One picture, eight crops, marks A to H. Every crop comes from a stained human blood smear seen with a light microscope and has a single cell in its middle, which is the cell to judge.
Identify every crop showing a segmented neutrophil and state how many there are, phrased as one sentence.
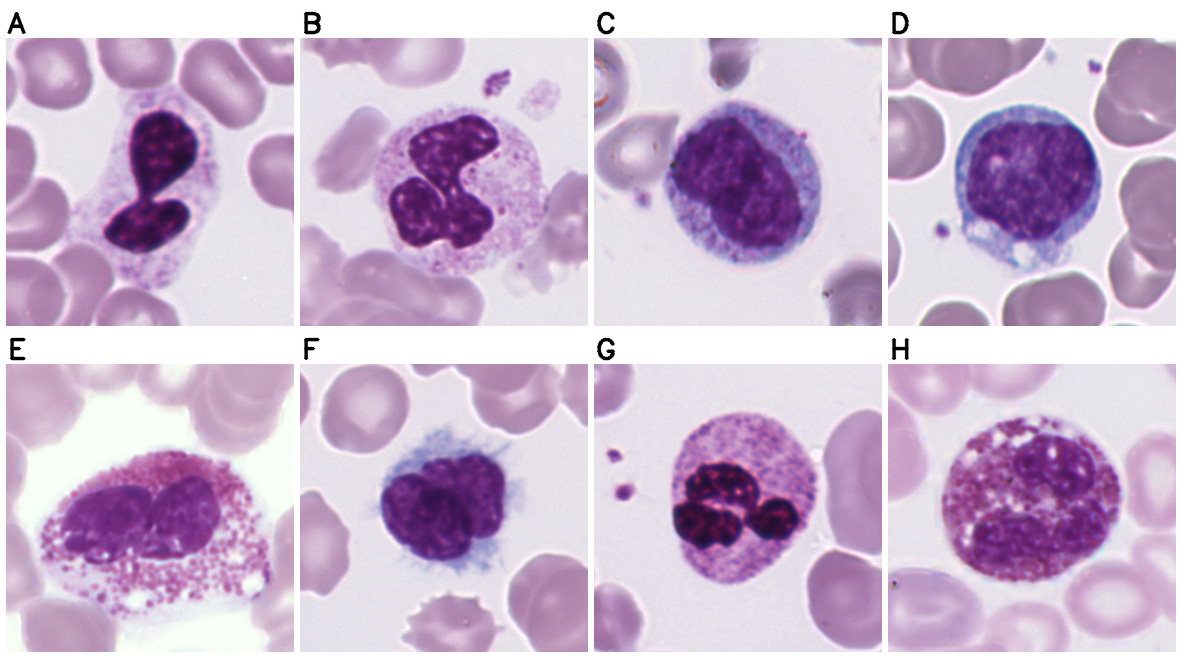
Crops labelled A, B and G show segmented neutrophils, which makes three crops.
